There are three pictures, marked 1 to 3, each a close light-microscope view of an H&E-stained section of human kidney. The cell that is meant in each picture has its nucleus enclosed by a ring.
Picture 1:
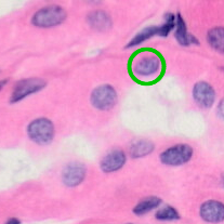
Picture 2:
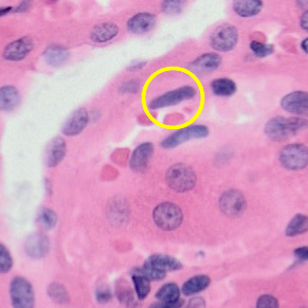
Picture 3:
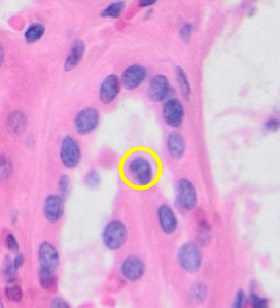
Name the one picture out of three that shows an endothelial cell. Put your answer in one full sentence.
The cell in picture 2 is the endothelial cell.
